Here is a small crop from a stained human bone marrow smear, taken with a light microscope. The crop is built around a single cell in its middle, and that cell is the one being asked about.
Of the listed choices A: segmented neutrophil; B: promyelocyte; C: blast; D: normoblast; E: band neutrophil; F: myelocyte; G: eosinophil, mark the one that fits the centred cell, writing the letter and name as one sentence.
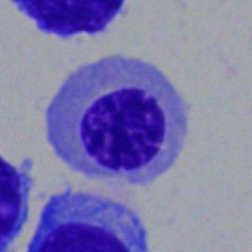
What option D states is correct, the central cell being a normoblast.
